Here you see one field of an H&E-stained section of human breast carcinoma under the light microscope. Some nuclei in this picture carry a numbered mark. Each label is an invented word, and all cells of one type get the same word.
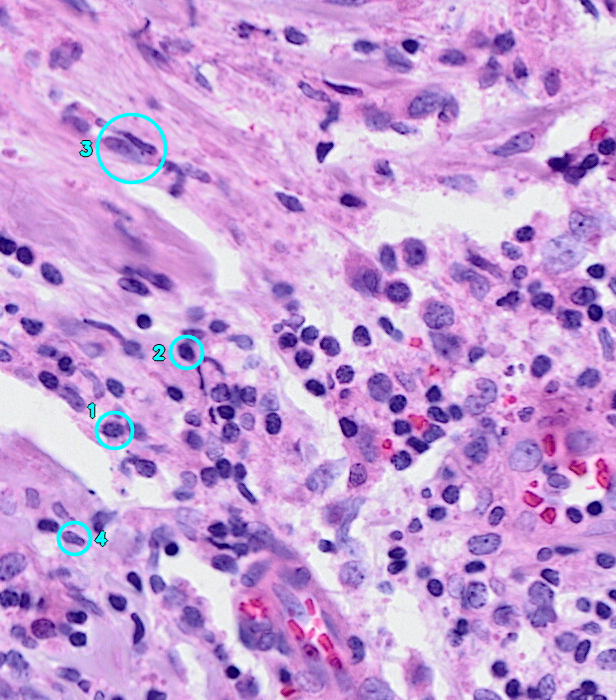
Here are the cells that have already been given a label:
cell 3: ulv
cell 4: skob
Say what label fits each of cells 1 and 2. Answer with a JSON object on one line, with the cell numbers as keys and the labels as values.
{"1": "skob", "2": "skob"}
